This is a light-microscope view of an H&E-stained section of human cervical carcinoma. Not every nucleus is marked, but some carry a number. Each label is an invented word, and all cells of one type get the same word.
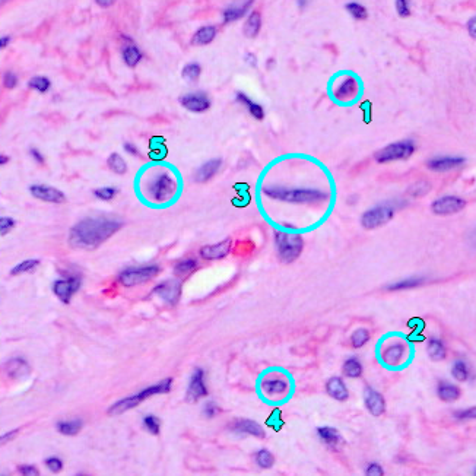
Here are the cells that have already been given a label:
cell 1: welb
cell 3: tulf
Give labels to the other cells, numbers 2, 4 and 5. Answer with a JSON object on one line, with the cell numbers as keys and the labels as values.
{"2": "welb", "4": "welb", "5": "tulf"}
